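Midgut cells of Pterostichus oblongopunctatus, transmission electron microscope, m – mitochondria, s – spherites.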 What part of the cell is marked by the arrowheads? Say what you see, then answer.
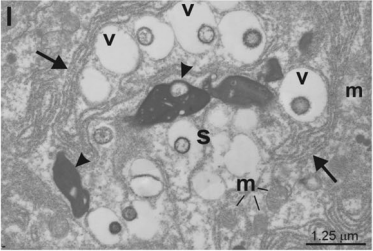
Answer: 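Residual bodies. The arrowheads point to irregular, very electron-dense dark bodies. They lie among pale vacuoles in the cytoplasm.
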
